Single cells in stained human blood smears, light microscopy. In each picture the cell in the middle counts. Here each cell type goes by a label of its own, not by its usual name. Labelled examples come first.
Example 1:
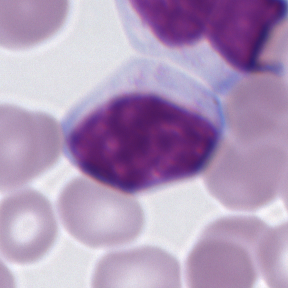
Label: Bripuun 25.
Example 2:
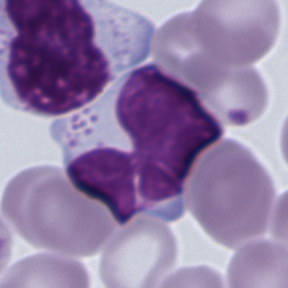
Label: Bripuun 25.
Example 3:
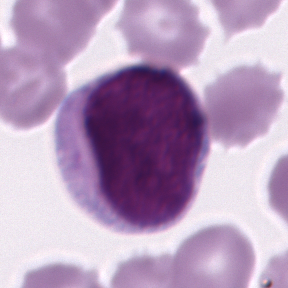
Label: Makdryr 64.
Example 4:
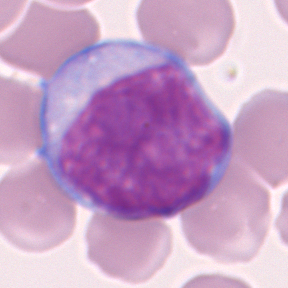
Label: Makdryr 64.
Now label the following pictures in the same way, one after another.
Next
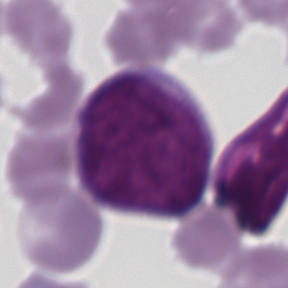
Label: Makdryr 64.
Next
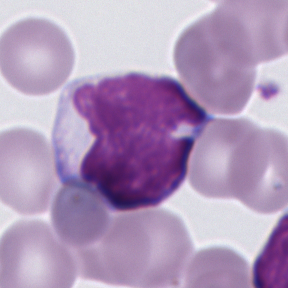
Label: Bripuun 25.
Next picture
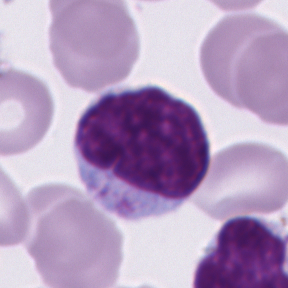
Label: Bripuun 25.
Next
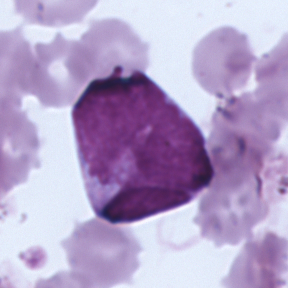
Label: Makdryr 64.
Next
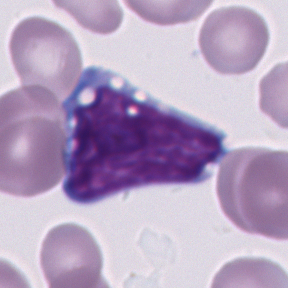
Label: Makdryr 64.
